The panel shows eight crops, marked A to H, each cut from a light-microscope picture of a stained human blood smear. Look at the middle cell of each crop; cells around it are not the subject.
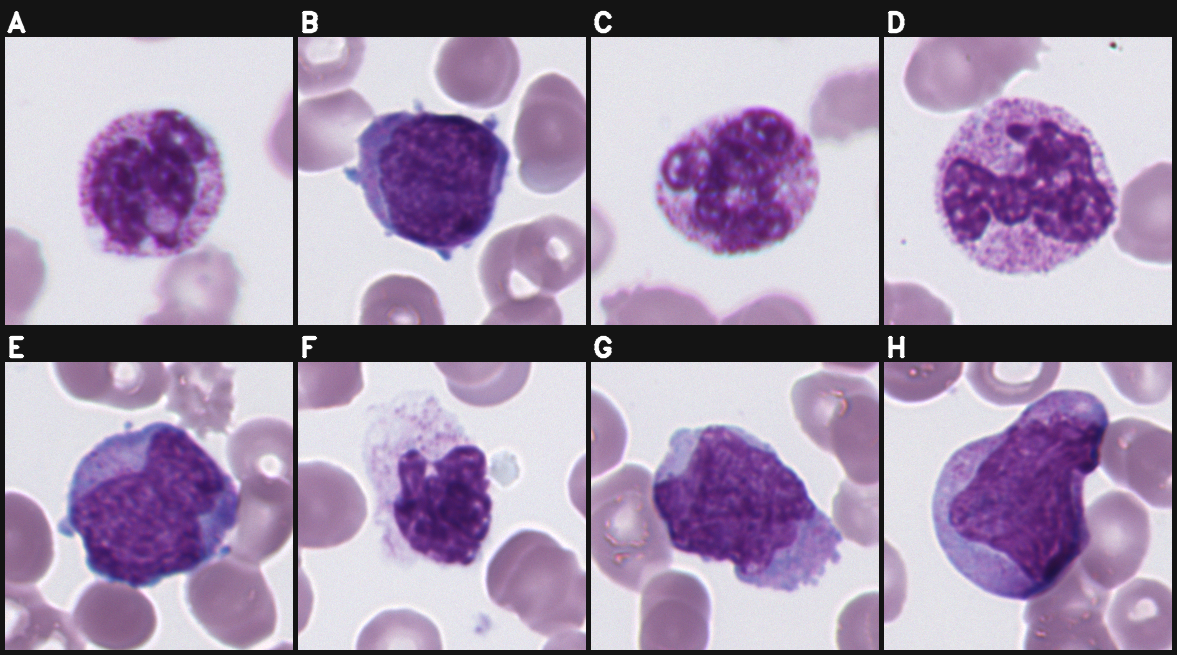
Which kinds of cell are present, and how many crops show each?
segmented neutrophil: 4
atypical promyelocyte: 4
